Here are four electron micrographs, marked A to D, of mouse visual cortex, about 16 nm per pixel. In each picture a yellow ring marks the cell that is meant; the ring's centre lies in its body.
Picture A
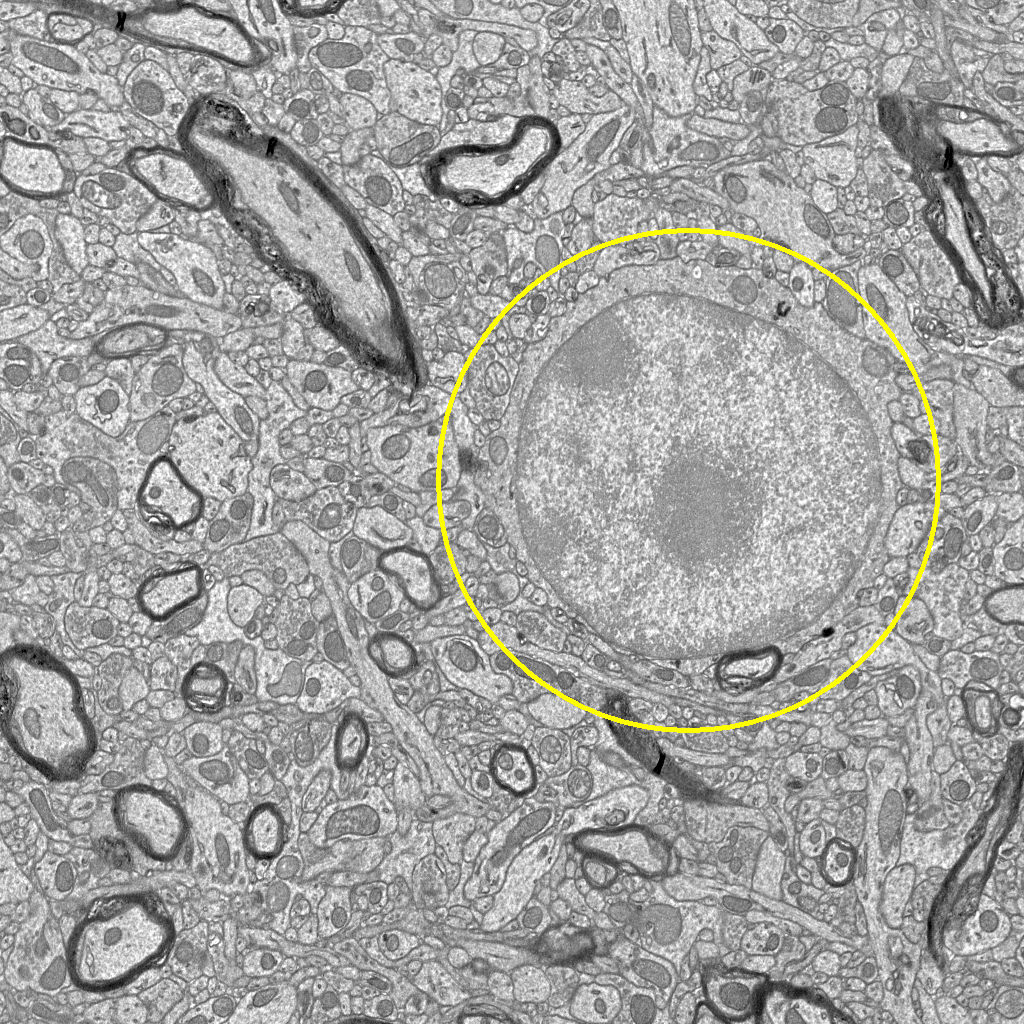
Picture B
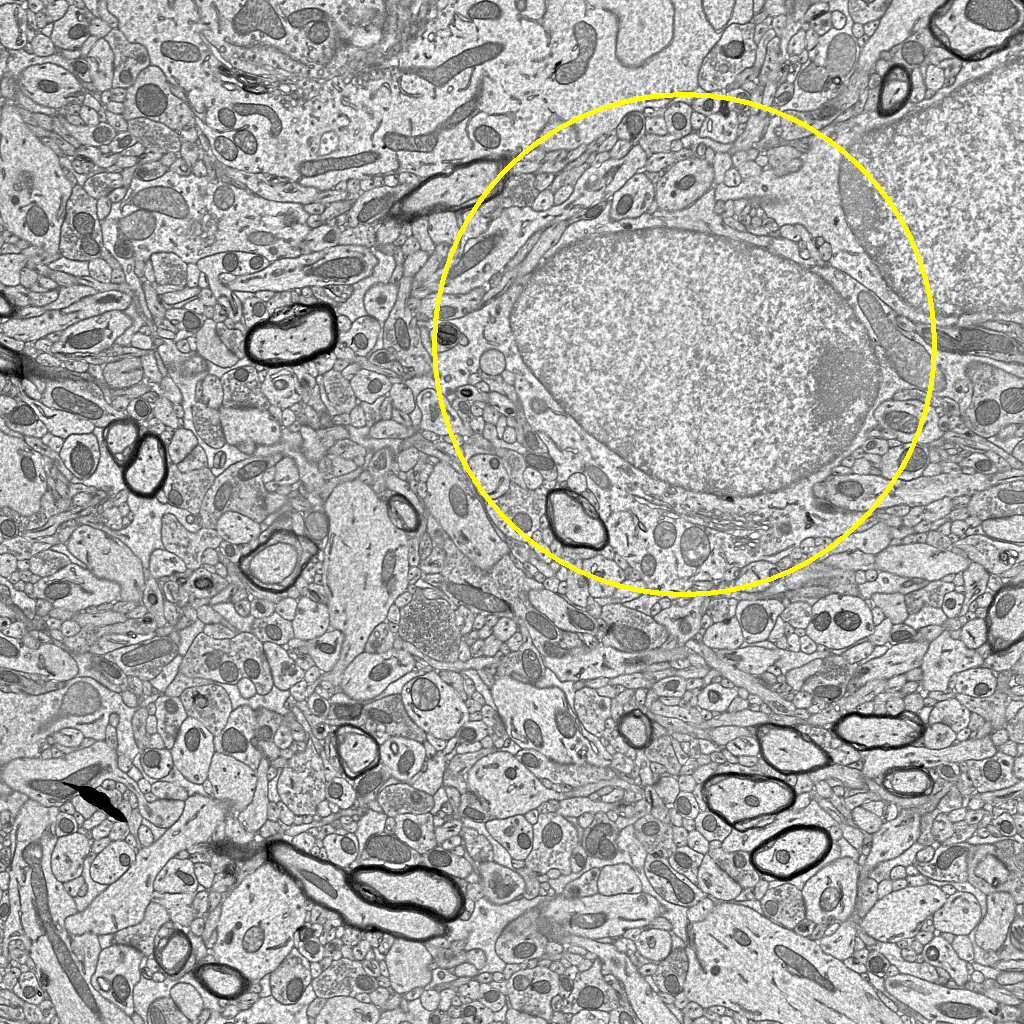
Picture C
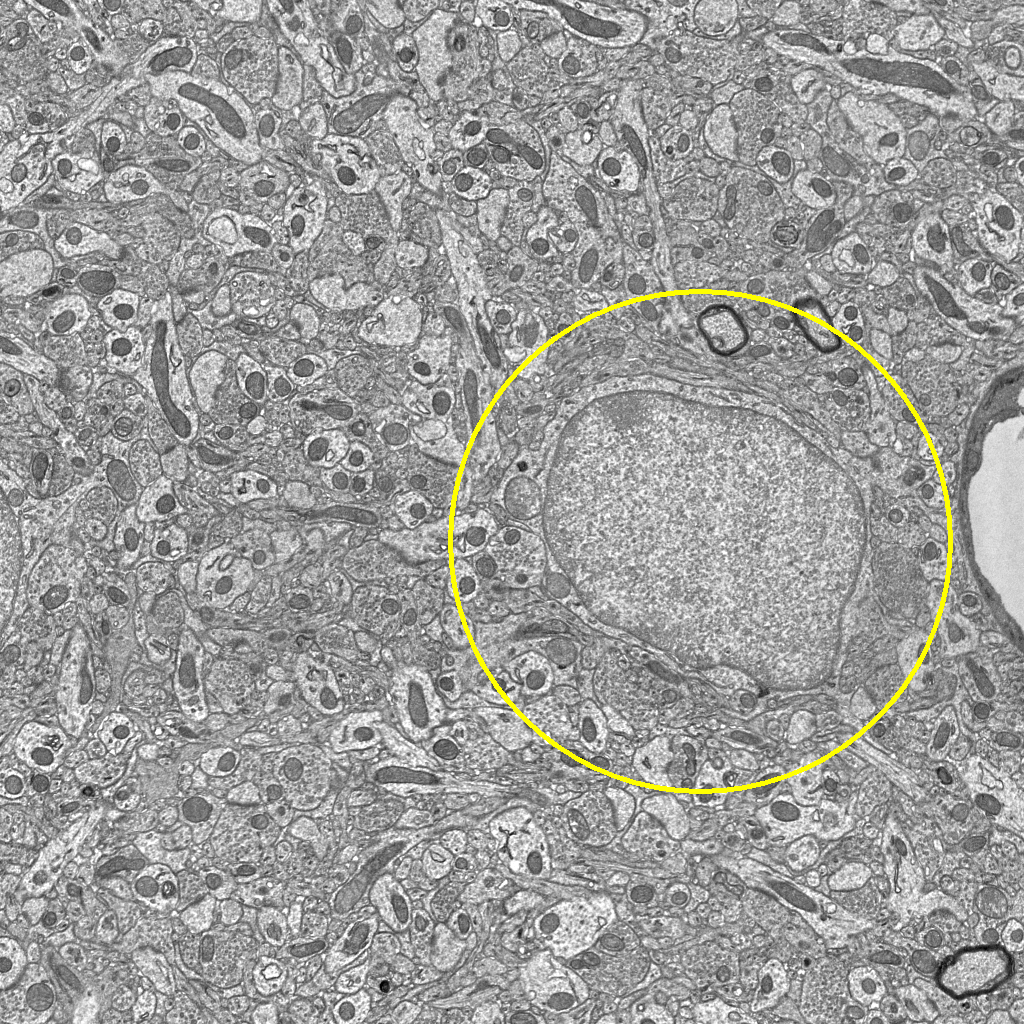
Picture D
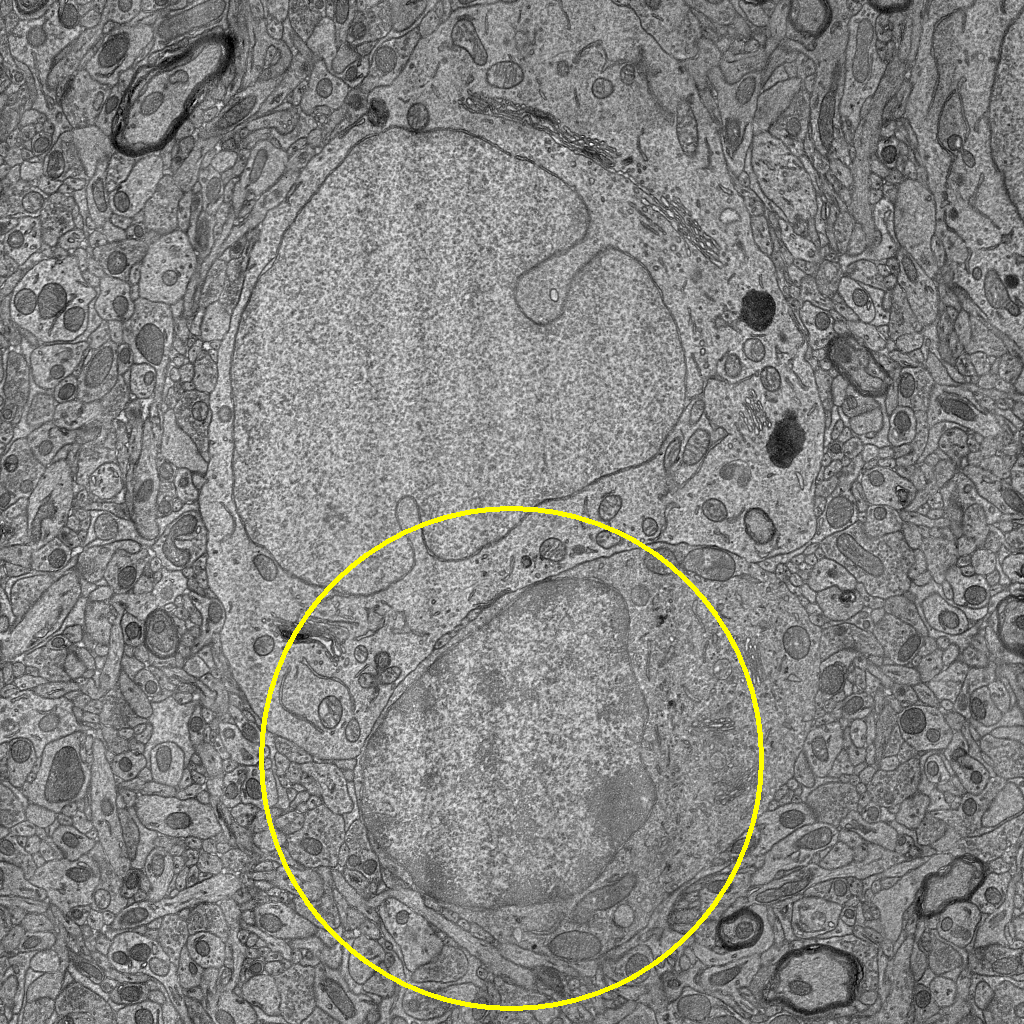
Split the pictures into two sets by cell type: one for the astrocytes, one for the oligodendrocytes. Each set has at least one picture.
Pictures B and C show astrocytes, while pictures A and D show oligodendrocytes.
